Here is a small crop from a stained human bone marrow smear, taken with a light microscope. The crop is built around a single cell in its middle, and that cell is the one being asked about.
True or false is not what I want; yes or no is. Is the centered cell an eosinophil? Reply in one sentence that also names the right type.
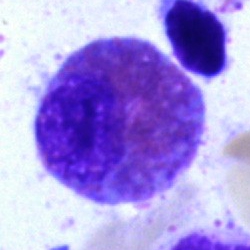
Yes, the identity of the central cell is that of an eosinophil.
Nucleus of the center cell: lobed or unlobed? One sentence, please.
If you check the nucleus, you will find one compact mass, round, oval or kidney-shaped.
